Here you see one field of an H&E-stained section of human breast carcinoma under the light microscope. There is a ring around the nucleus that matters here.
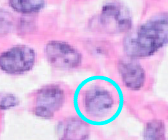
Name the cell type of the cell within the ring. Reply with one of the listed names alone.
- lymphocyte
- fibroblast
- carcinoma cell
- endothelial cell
carcinoma cell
